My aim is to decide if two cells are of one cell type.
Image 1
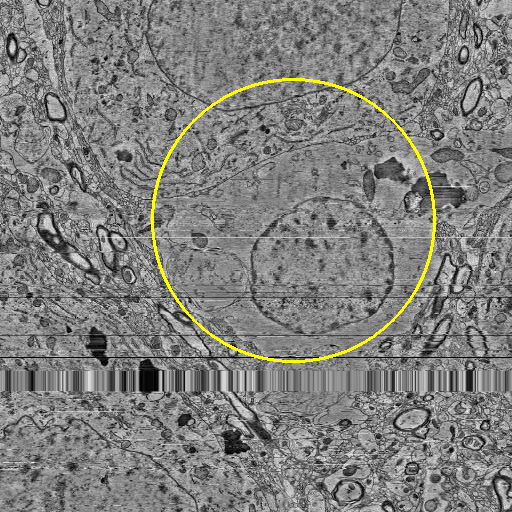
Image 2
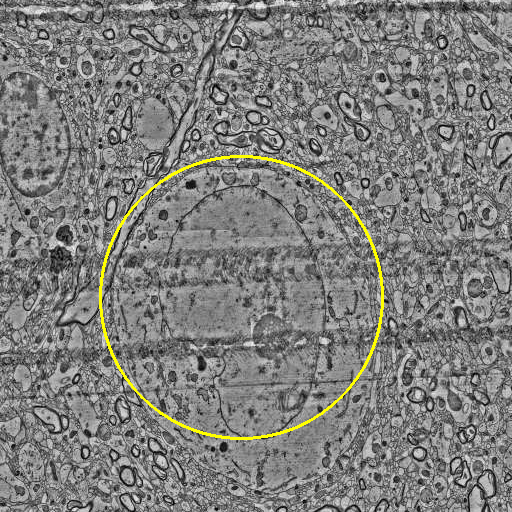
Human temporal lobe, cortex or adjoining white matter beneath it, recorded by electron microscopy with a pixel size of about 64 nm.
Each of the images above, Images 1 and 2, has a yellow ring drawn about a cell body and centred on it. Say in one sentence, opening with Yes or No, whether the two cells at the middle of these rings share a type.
No, in Images 1 and 2 the cells at the middle of the rings fall into two types.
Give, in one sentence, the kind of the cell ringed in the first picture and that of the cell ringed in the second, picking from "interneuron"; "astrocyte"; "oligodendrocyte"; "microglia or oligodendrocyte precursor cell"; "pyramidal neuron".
For the first picture it is an astrocyte; for the second, a pyramidal neuron.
